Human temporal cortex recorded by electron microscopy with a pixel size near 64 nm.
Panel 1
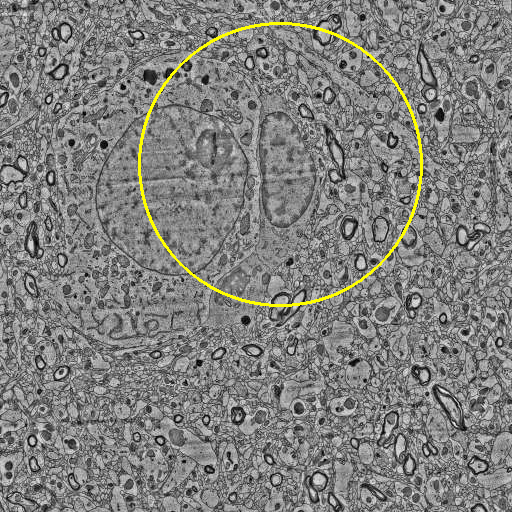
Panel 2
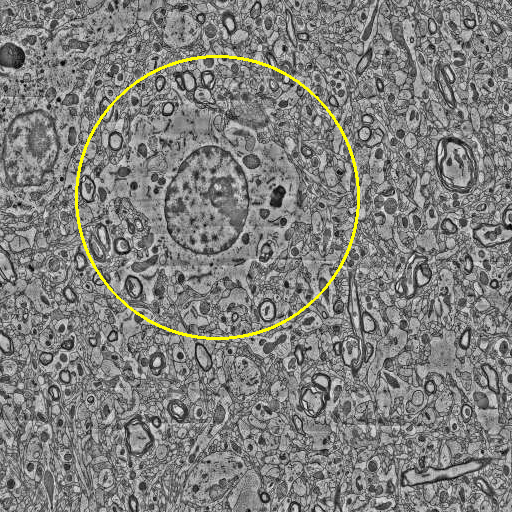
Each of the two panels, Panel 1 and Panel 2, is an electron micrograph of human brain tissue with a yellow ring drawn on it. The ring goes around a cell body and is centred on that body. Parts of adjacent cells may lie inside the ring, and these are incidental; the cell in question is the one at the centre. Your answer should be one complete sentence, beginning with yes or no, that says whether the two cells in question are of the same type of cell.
No, the two cells are of two types.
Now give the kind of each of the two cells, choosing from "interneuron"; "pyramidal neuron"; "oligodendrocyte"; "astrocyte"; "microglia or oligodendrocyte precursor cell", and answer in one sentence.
The cell in the first picture is an oligodendrocyte, and the cell in the second is an astrocyte.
